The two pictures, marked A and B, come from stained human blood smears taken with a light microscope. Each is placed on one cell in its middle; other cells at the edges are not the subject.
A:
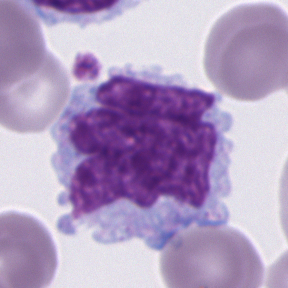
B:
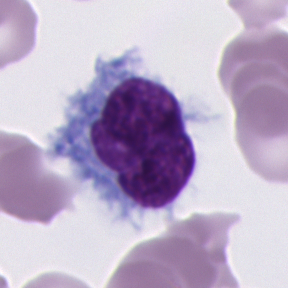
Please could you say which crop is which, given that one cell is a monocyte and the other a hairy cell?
A: monocyte
B: hairy cell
